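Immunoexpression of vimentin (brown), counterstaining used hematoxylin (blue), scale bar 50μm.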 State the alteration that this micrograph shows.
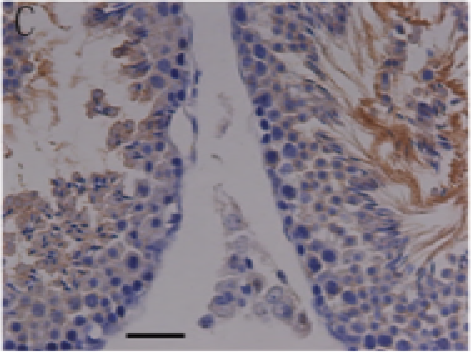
Damage to spermatogenesis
